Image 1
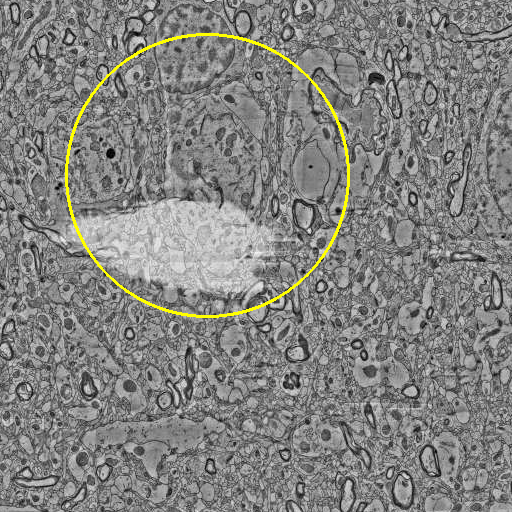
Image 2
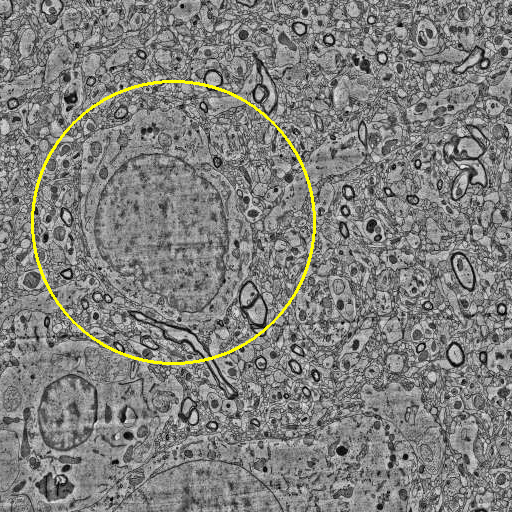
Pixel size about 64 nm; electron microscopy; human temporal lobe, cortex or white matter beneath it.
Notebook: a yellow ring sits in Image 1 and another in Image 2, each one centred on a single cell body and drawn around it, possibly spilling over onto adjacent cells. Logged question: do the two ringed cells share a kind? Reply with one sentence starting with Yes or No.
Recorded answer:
Yes, both centre cells inside the rings of Image 1 and Image 2 share one kind.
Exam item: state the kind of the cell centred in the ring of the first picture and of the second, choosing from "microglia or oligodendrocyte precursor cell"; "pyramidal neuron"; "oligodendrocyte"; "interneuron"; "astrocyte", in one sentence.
The ring centre holds an interneuron in each of the two pictures.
